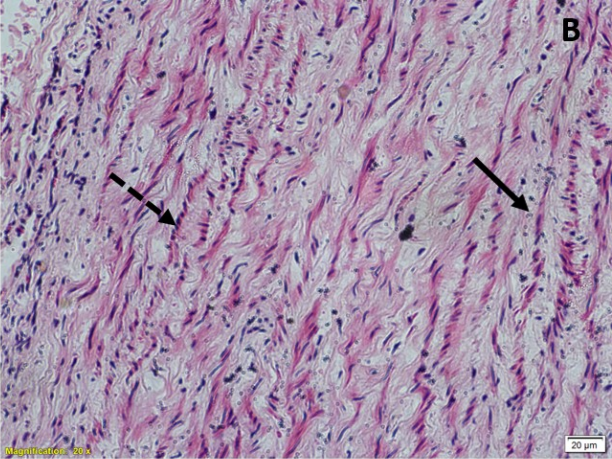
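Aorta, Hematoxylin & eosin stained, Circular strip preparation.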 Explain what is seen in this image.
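The nuclei are dark purple and mostly elongated, lying along the long axis of the fibres. Between the fibres lies a pale, loose, faintly fibrillar matrix. The fibres form closely spaced bands crossing the field obliquely.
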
